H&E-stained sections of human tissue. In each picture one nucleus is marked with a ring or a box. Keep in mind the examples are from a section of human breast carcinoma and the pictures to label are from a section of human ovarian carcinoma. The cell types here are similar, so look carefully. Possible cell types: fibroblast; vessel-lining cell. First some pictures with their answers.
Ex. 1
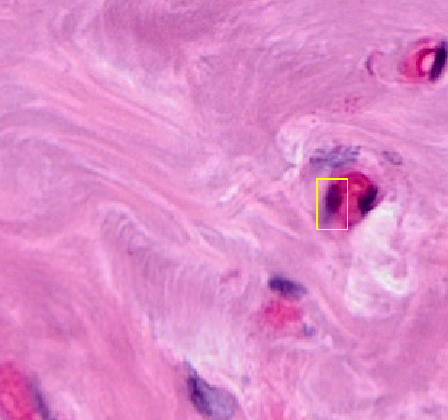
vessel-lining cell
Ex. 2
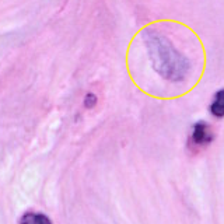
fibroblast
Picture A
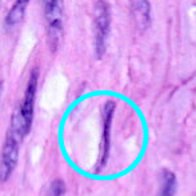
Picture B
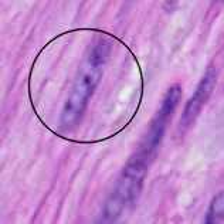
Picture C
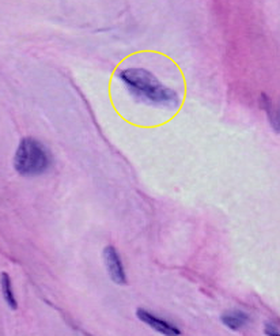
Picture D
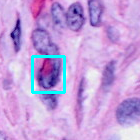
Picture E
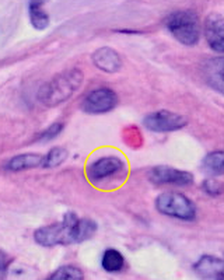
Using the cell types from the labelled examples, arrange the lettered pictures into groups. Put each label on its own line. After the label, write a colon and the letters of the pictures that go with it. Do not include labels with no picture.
fibroblast: A, B
vessel-lining cell: C, D, E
